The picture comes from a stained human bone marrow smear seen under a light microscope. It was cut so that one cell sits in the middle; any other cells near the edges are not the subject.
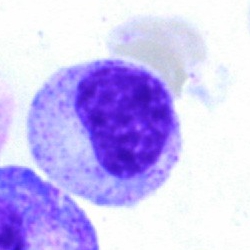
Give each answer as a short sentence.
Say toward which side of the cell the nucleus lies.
Seen from the middle of the cell, the nucleus lies toward the upper right.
